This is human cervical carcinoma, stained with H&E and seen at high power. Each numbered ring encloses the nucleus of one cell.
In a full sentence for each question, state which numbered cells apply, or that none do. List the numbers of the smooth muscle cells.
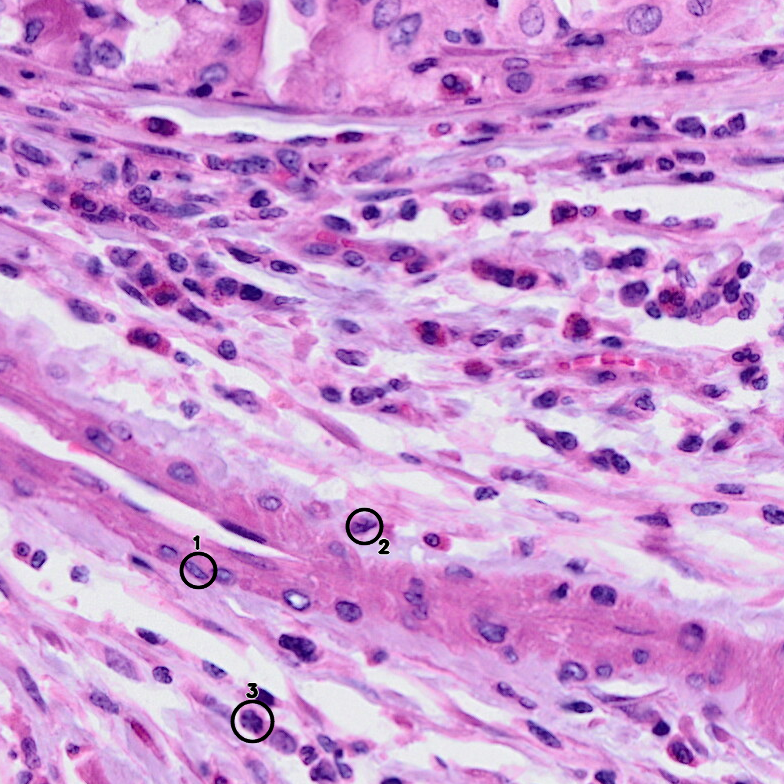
Among the marked cells, cell number 1 alone is a smooth muscle cell.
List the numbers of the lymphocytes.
Cell 3 is a lymphocyte, while every other numbered cell is not.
